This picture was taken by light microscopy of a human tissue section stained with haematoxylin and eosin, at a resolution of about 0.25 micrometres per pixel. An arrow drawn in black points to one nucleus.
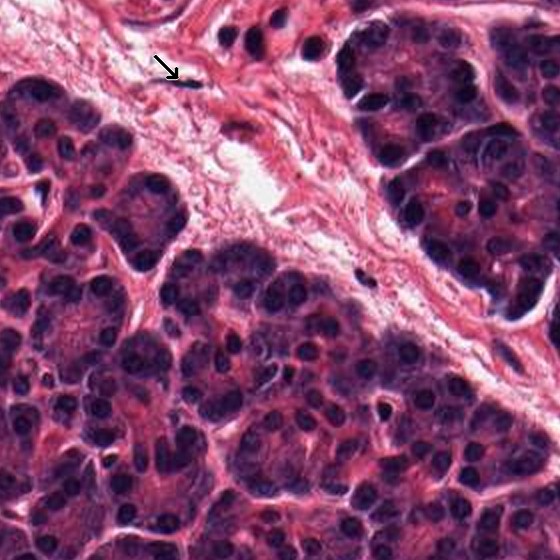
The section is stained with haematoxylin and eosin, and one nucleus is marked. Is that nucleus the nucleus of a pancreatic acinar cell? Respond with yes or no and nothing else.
no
